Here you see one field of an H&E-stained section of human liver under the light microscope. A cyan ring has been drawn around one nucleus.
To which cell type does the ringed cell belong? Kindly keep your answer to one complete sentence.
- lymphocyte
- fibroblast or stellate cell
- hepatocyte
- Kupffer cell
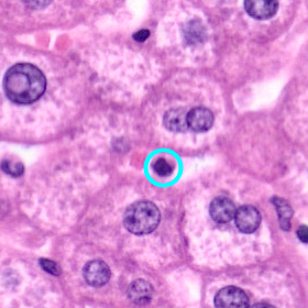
Among the cells in this section, the ringed cell is a lymphocyte.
